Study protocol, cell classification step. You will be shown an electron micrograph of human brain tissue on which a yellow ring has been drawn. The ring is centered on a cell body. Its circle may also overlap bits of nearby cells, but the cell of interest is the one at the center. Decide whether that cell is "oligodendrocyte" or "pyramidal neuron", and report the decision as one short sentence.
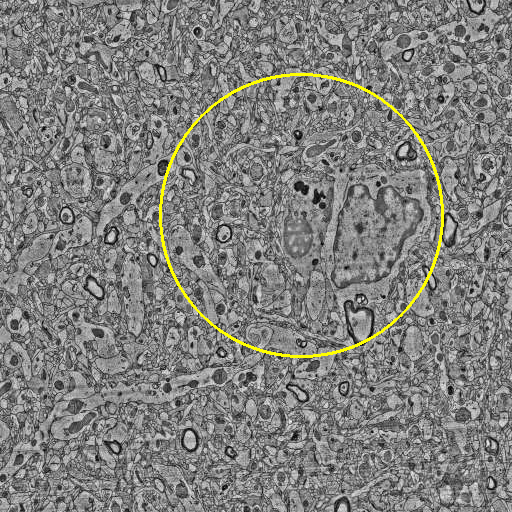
The marked cell is an oligodendrocyte.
